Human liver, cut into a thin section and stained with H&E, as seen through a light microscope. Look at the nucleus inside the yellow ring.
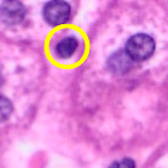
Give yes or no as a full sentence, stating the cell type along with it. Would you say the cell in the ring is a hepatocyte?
No, the cell in the ring is classed as a lymphocyte, not as a hepatocyte.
